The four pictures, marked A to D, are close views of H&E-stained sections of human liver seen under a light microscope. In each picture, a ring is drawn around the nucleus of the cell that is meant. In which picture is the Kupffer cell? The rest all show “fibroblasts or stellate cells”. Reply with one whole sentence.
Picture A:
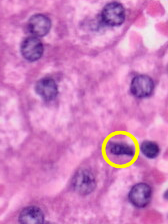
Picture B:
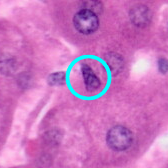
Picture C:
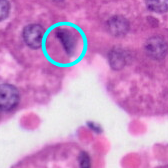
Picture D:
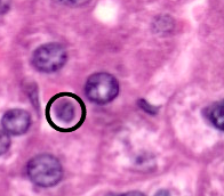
Picture D shows the Kupffer cell.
